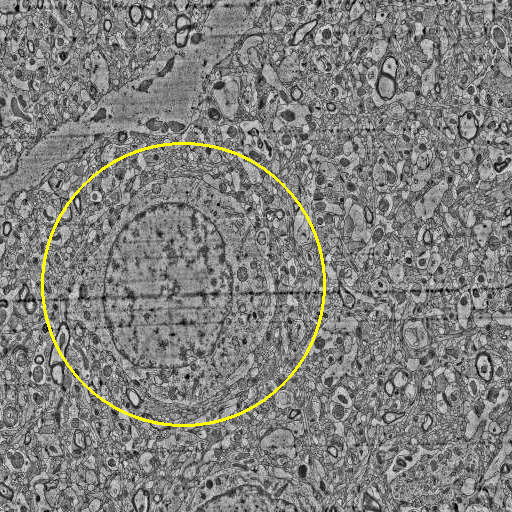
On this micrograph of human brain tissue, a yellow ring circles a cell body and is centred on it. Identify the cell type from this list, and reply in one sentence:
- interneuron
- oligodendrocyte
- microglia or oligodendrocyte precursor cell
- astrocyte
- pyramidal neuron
The cell at the centre is an interneuron.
